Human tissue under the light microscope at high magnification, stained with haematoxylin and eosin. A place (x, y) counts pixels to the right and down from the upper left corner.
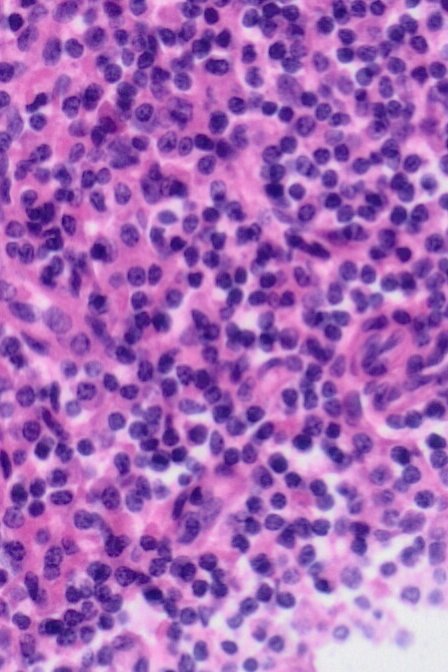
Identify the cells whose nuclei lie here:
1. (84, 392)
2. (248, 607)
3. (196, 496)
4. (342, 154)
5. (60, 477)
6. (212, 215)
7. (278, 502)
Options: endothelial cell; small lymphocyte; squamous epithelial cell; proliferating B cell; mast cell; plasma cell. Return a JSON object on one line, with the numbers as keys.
{"1": "plasma cell", "2": "small lymphocyte", "3": "endothelial cell", "4": "small lymphocyte", "5": "plasma cell", "6": "small lymphocyte", "7": "small lymphocyte"}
